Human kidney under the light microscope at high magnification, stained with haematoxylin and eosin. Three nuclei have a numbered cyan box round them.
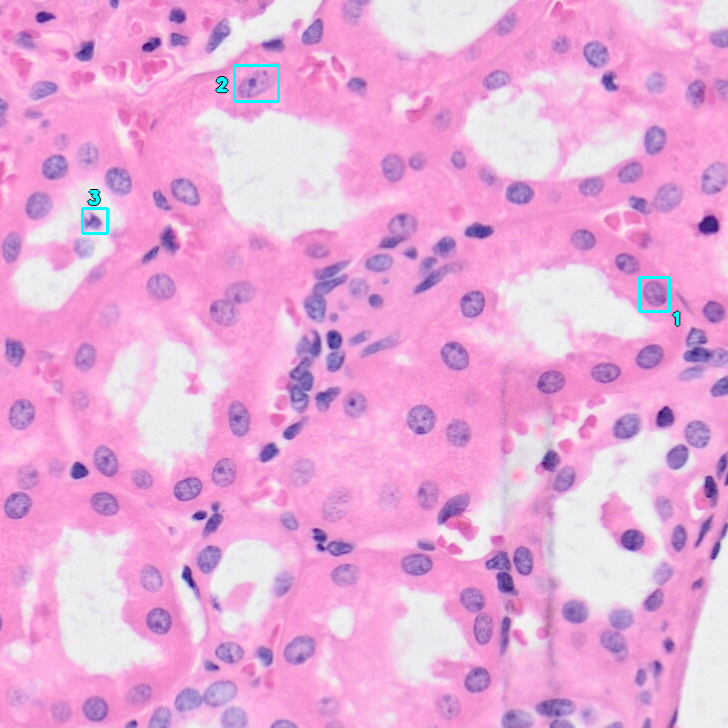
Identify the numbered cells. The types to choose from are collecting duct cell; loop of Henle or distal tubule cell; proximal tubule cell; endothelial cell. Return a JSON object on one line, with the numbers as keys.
{"1": "proximal tubule cell", "2": "proximal tubule cell", "3": "loop of Henle or distal tubule cell"}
